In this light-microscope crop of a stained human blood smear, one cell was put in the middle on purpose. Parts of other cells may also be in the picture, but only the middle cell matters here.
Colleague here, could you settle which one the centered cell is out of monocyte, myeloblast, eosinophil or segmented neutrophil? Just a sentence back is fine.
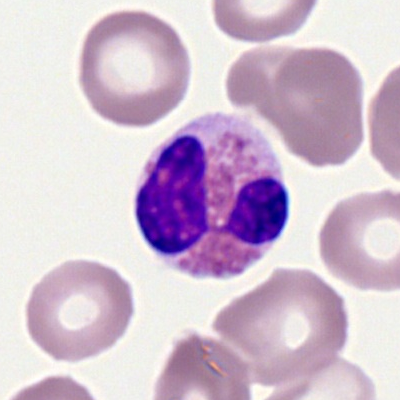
The cell at the middle of the frame should be recorded as an eosinophil.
